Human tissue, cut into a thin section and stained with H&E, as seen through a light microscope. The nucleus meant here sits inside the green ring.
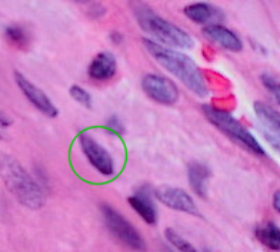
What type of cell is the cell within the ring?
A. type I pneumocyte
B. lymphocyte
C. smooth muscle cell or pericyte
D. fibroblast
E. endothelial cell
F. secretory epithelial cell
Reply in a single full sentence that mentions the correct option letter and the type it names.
Option D, identifying the cell within the ring as a fibroblast, is correct.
